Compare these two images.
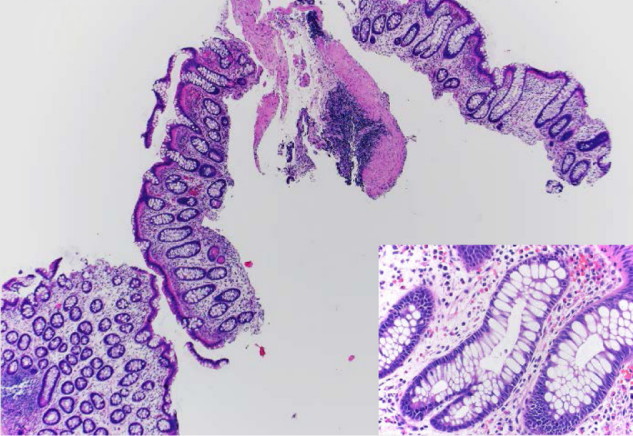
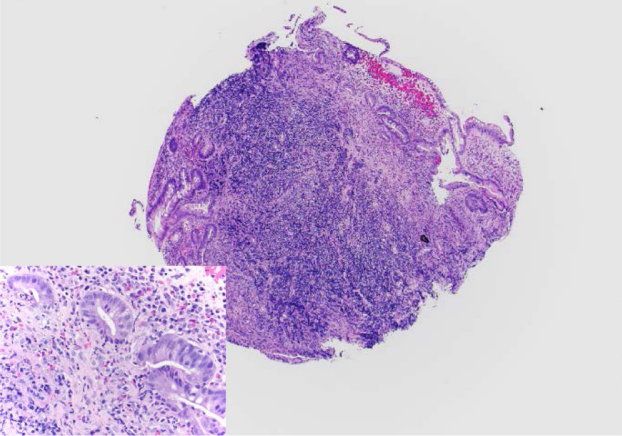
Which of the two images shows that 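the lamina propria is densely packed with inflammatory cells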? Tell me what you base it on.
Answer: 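First image: the lamina propria between crypts is pale with few cells. Second image: a dense dark purple sheet of cells fills the lamina propria. The answer: the second image.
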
